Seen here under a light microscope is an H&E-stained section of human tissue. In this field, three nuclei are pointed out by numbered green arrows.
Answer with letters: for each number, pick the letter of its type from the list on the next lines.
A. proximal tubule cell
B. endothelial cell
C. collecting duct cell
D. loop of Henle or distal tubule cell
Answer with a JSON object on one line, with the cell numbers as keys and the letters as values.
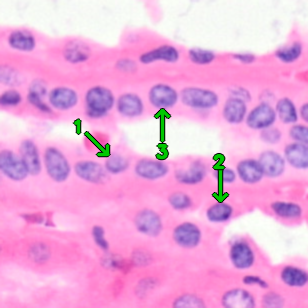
{"1": "C", "2": "D", "3": "C"}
